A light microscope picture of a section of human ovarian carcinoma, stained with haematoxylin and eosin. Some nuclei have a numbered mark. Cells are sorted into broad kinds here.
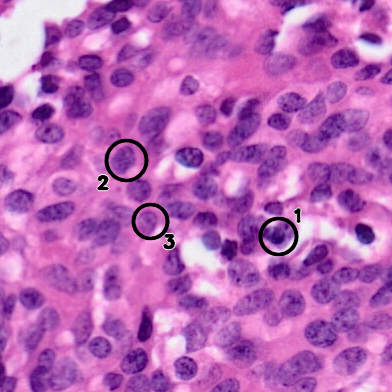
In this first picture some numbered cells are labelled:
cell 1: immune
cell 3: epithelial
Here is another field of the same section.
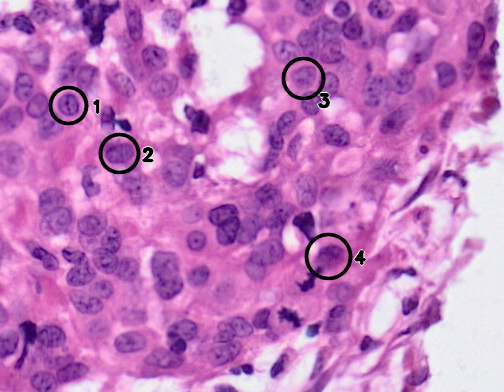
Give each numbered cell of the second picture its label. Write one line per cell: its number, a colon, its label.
1: immune
2: epithelial
3: epithelial
4: epithelial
